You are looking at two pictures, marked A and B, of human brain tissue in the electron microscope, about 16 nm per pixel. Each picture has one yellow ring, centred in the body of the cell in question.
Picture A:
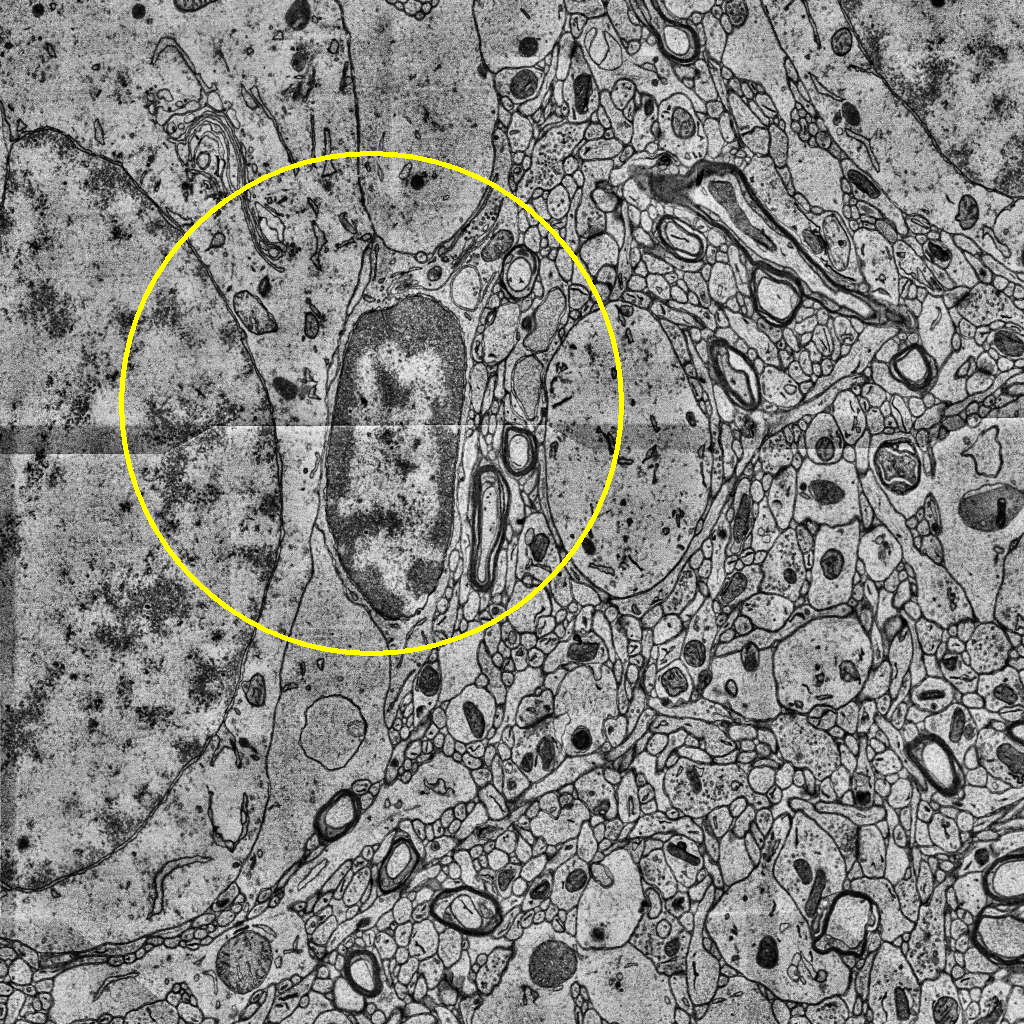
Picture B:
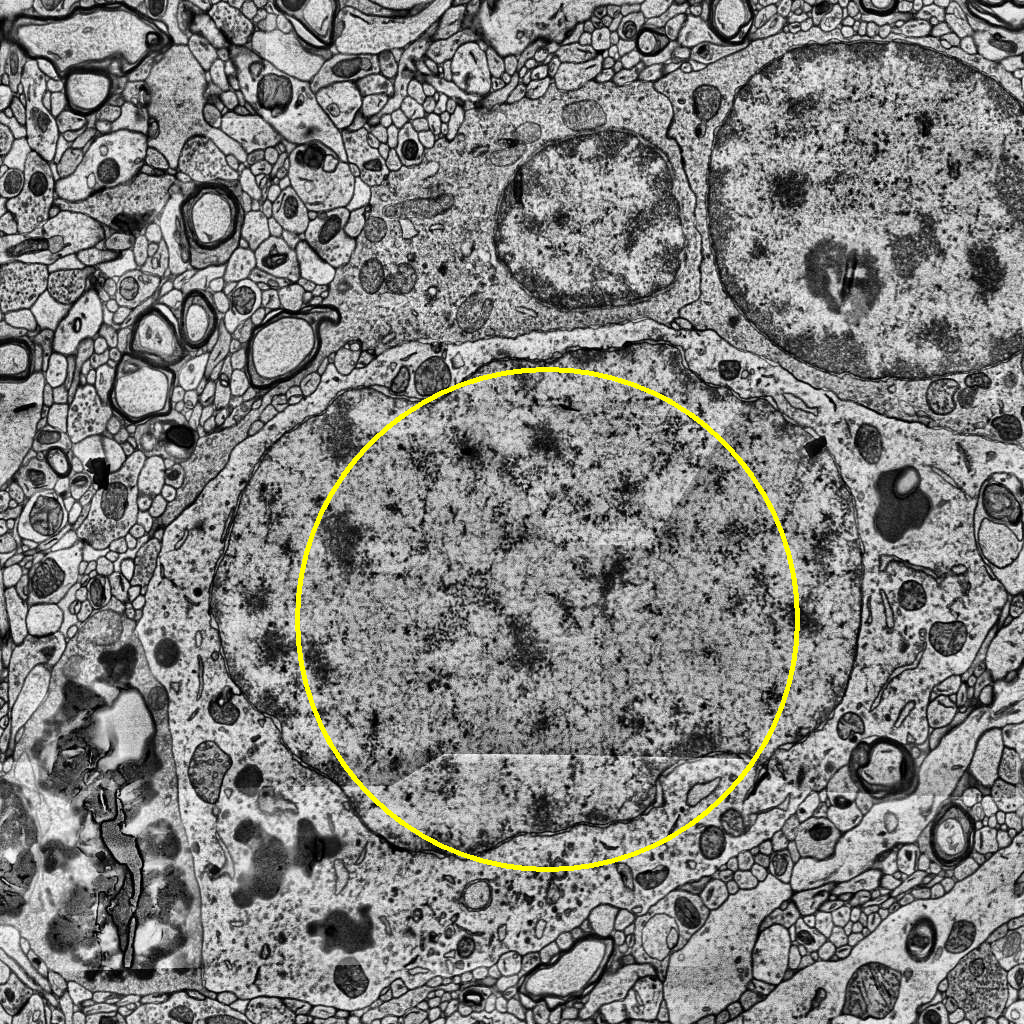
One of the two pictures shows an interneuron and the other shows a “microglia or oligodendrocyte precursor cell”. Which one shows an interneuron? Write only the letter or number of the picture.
B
